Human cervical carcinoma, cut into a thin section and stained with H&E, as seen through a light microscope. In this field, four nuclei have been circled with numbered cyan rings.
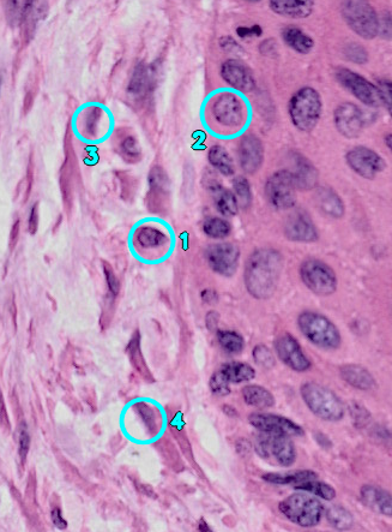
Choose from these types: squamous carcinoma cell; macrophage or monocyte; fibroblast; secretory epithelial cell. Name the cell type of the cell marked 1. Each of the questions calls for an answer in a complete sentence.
Among the marked cells, number 1 is a macrophage or monocyte.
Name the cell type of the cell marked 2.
Cell 2 of the marked set is a squamous carcinoma cell.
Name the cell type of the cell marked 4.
The numeral 4 marks a fibroblast in this section.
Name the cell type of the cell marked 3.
Looking at the numbered marks, cell 3 is a fibroblast.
